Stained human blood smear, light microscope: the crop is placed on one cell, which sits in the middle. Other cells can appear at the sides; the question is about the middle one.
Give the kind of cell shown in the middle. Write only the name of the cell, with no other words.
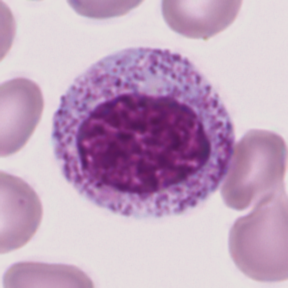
myelocyte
